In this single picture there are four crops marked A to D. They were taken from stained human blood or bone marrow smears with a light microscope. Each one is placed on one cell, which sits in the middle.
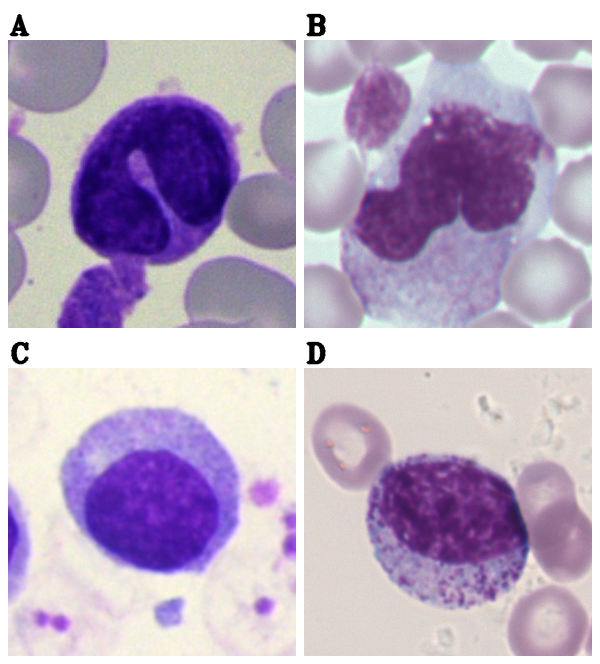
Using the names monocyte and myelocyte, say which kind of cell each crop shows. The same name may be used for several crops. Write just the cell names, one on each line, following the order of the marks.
monocyte
monocyte
myelocyte
myelocyte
